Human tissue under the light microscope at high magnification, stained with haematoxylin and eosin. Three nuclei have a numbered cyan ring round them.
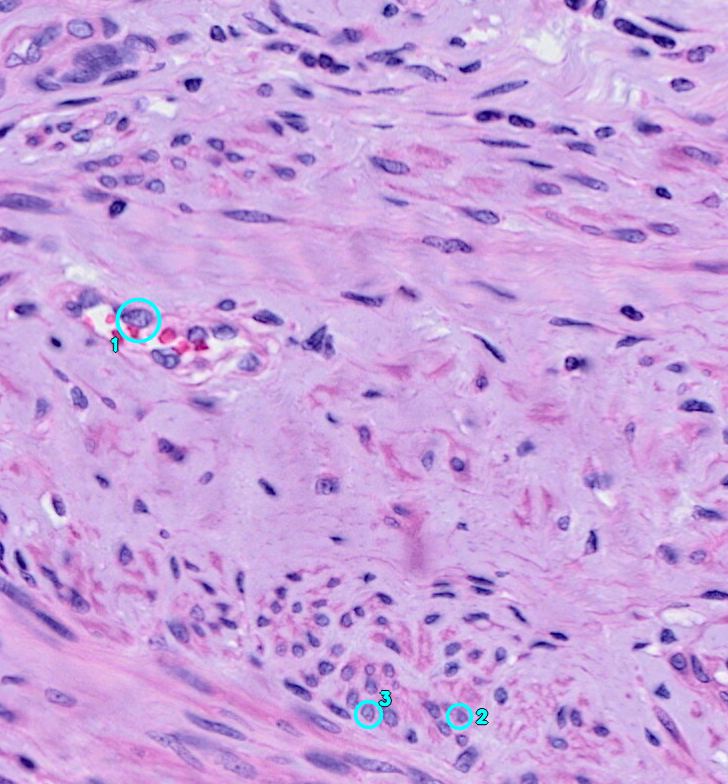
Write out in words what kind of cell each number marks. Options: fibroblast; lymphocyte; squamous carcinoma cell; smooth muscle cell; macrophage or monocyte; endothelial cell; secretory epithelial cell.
Cell 1 is an endothelial cell, cell 2 is a smooth muscle cell and cell 3 is a smooth muscle cell.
